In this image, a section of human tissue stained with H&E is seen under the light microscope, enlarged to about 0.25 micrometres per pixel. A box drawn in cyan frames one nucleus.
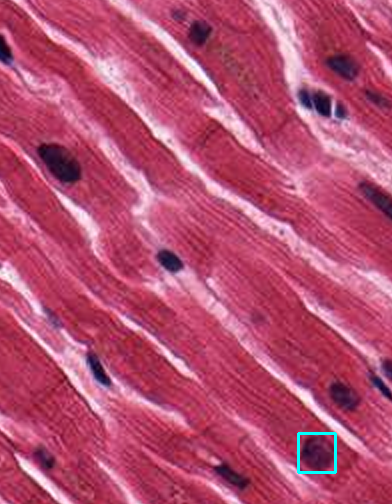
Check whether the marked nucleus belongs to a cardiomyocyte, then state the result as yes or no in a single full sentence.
Yes, the marked nucleus is part of a cardiomyocyte.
